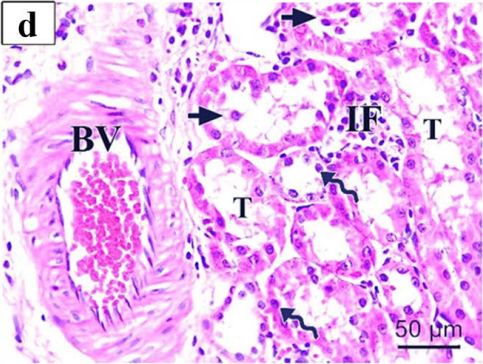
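Injured renal cortex beside a large blood vessel. The vessel has a thick pink muscular wall and a lumen packed with red blood cells. Nearby tubules are disorganised: their epithelial cells are swollen, pale and vacuolated, some detached into the lumens, and several nuclei are small, dense and dark. Between the tubules the interstitium holds clusters of small dark round nuclei of infiltrating cells. Tubular outlines are irregular and lumens contain loose debris, unlike the tightly packed, intact tubules of normal cortex.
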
